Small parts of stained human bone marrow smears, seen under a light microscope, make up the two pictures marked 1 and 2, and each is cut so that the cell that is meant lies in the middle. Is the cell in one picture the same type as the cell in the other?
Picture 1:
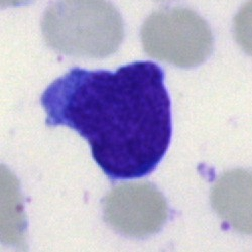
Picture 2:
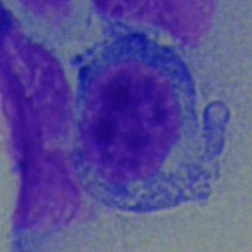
no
